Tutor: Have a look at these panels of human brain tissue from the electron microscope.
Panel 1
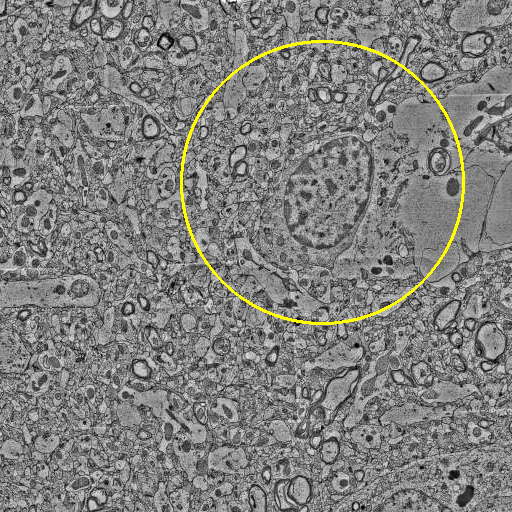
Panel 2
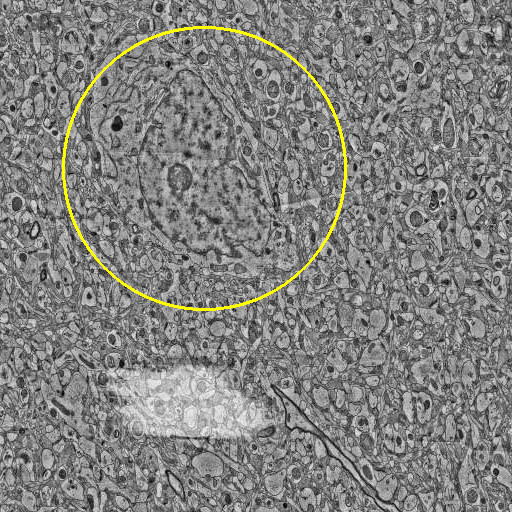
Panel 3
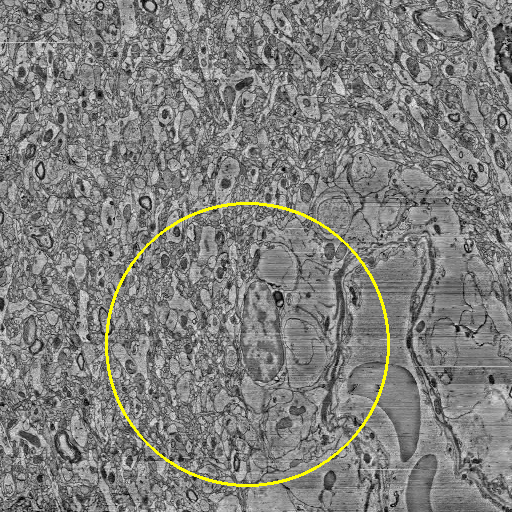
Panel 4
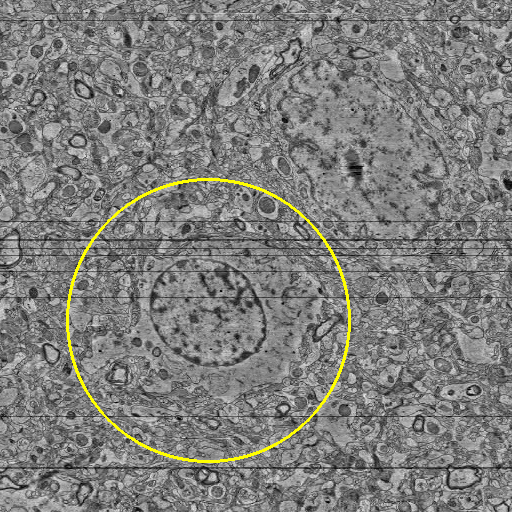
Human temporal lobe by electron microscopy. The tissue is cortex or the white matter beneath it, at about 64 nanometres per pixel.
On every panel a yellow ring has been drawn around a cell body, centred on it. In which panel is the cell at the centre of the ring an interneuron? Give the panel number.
2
